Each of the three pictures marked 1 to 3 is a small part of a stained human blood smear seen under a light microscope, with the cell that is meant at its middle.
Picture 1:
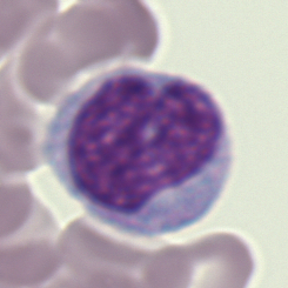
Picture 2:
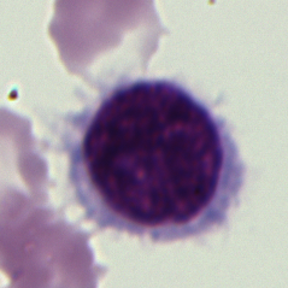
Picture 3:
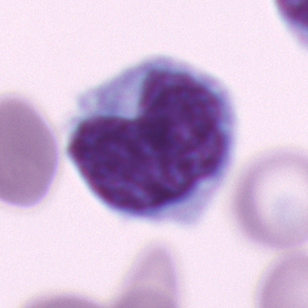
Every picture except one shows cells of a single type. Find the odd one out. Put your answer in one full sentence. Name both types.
All pictures except 2 show monocytes; picture 2 shows a hairy cell.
